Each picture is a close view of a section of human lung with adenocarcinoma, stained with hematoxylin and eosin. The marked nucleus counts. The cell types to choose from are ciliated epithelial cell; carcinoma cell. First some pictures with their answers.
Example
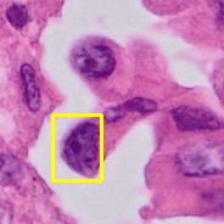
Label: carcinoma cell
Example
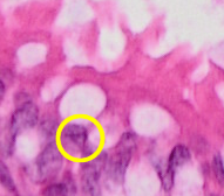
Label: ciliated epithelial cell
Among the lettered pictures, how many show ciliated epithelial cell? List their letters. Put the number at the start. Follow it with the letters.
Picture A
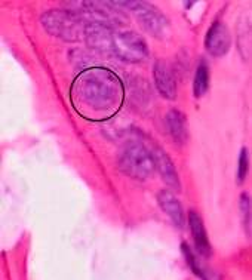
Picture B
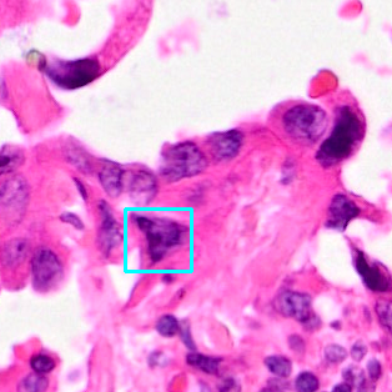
Count: 1 (A)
